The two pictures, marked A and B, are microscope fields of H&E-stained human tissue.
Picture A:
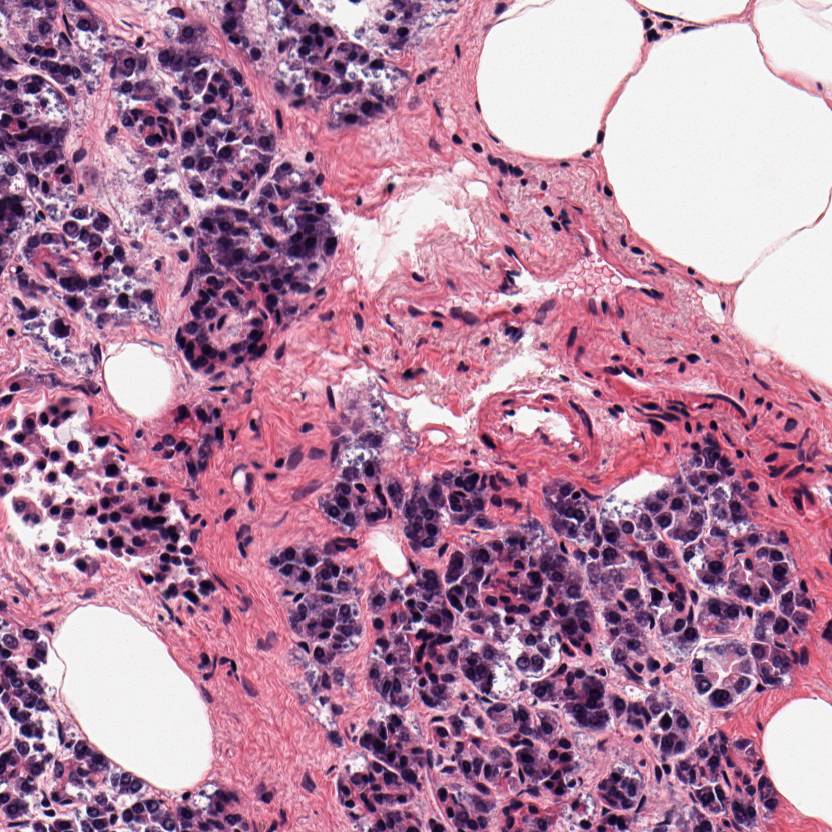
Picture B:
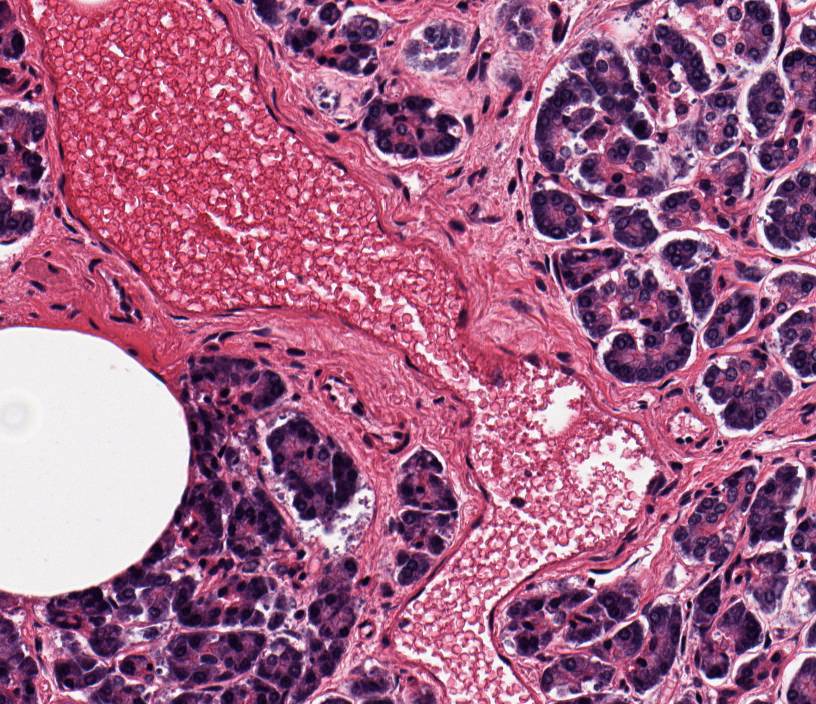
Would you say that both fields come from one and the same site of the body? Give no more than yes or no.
yes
